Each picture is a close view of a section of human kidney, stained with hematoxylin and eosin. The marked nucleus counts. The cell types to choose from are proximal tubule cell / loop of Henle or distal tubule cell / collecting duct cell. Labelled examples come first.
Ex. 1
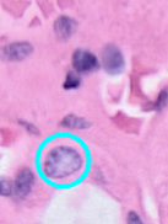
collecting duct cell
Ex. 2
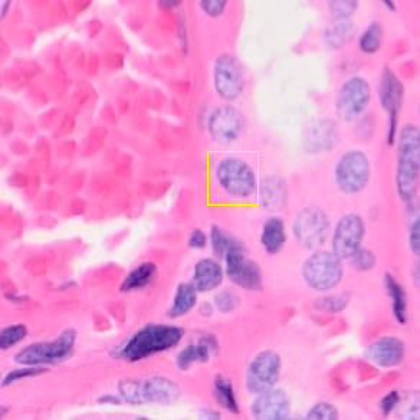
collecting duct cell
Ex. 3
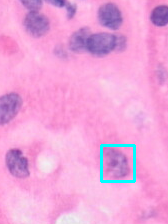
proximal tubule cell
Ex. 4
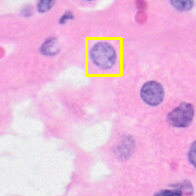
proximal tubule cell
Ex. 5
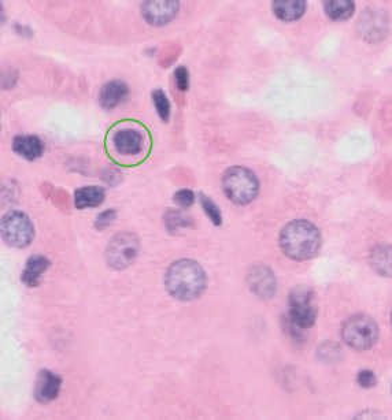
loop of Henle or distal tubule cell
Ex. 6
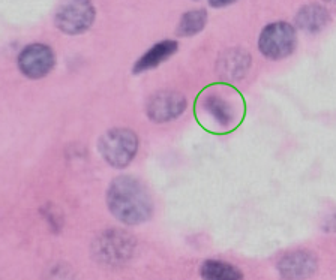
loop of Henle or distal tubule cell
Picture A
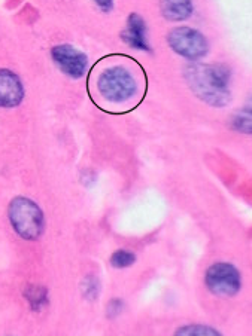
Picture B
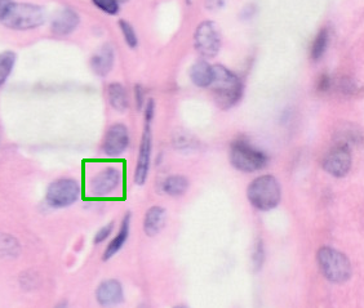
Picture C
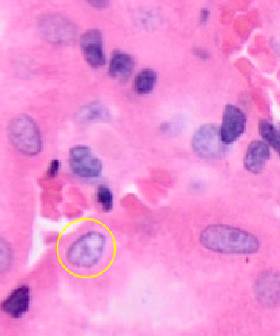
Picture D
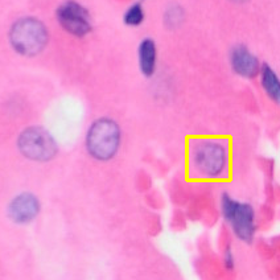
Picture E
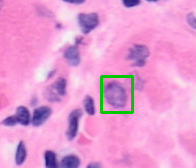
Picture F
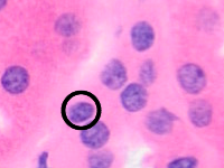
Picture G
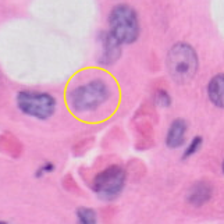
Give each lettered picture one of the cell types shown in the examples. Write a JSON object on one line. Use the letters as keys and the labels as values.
{"A": "loop of Henle or distal tubule cell", "B": "collecting duct cell", "C": "proximal tubule cell", "D": "proximal tubule cell", "E": "proximal tubule cell", "F": "collecting duct cell", "G": "loop of Henle or distal tubule cell"}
